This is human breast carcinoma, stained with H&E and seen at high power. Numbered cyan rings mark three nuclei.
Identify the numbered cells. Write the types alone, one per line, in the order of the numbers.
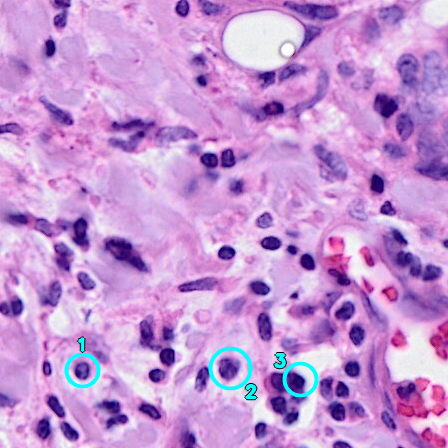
mast cell
lymphocyte
lymphocyte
